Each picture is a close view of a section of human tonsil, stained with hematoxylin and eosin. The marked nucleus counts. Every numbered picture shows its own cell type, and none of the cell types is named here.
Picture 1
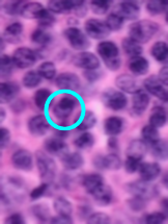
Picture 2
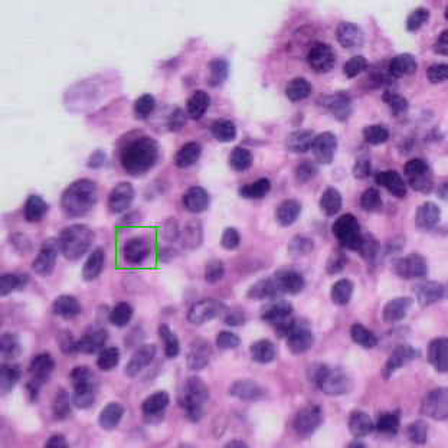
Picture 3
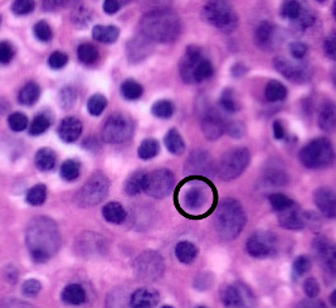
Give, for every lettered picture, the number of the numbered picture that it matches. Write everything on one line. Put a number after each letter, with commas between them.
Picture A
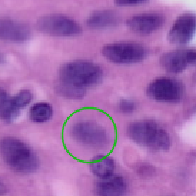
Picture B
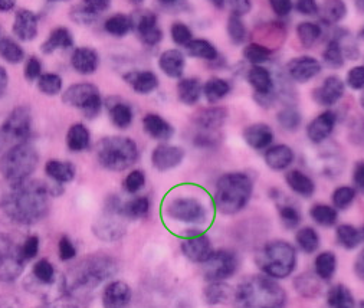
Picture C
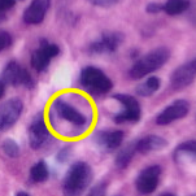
A 3, B 2, C 3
